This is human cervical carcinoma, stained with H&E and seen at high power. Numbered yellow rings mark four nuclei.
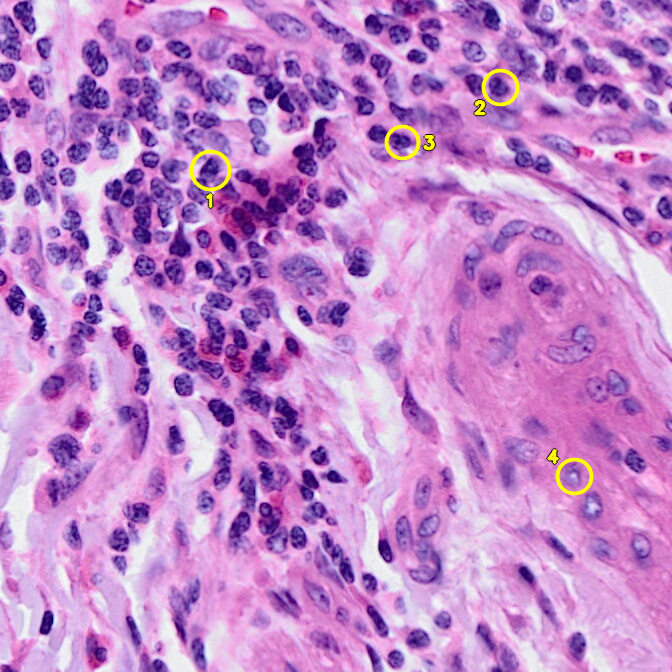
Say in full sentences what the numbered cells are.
Cell 1 is a lymphocyte, cell 2 is a lymphocyte, cell 3 is a lymphocyte and cell 4 is a smooth muscle cell.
